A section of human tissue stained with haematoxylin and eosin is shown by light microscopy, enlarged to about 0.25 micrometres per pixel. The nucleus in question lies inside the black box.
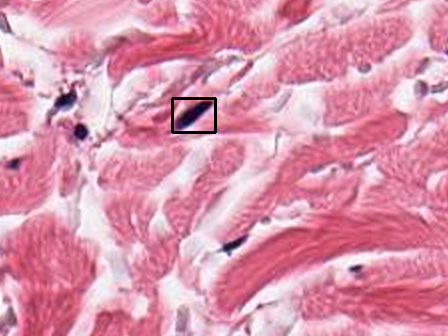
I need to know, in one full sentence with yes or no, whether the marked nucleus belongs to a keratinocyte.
No, the marked nucleus is not part of a keratinocyte and instead belongs to a supporting cell.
